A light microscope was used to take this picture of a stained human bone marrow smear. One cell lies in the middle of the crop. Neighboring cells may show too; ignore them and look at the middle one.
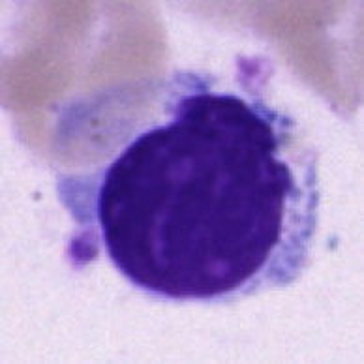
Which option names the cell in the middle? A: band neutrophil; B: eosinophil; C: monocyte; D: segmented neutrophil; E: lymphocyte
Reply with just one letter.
E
